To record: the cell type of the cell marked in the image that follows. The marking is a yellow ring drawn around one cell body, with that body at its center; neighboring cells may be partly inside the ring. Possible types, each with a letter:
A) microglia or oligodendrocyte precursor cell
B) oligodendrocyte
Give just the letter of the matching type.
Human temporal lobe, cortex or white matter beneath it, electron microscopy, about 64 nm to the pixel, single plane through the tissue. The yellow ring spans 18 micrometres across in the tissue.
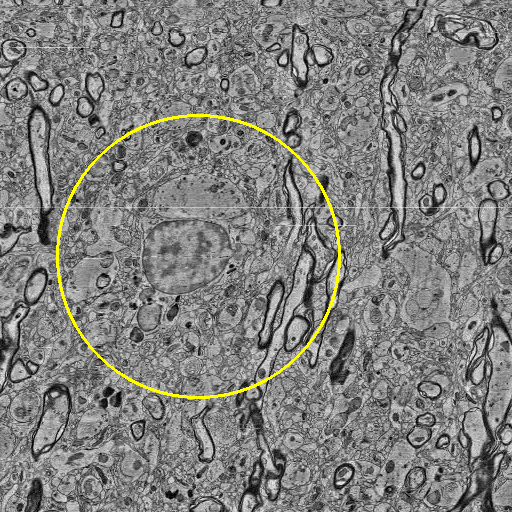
A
